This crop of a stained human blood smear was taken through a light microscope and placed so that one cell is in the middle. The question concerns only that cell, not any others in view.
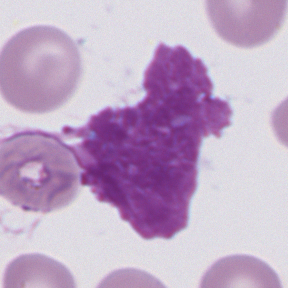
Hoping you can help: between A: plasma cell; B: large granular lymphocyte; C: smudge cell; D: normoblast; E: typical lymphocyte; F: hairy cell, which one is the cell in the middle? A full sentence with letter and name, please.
Option C holds up: the cell in the middle is a smudge cell.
